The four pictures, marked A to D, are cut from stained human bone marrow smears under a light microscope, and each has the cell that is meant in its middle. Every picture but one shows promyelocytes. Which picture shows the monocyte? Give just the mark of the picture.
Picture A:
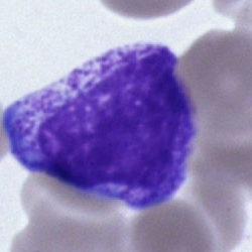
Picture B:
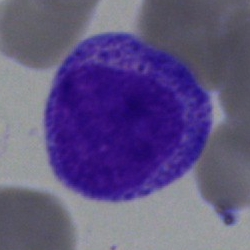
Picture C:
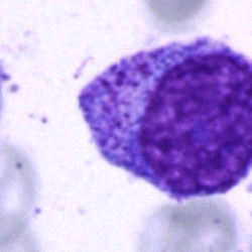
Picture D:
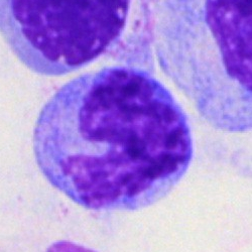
D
